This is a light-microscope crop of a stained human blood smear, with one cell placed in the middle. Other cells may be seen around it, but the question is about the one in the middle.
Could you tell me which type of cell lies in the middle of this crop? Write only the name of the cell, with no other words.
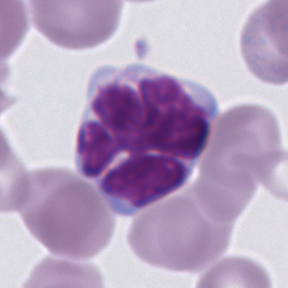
large granular lymphocyte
